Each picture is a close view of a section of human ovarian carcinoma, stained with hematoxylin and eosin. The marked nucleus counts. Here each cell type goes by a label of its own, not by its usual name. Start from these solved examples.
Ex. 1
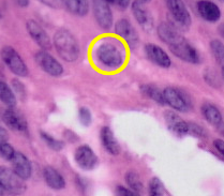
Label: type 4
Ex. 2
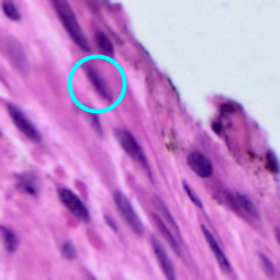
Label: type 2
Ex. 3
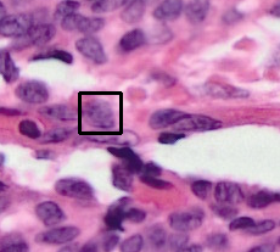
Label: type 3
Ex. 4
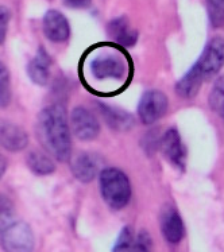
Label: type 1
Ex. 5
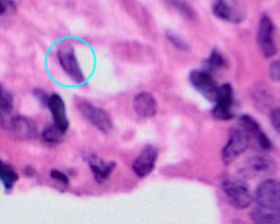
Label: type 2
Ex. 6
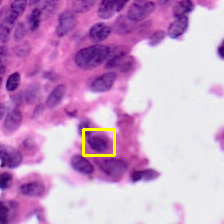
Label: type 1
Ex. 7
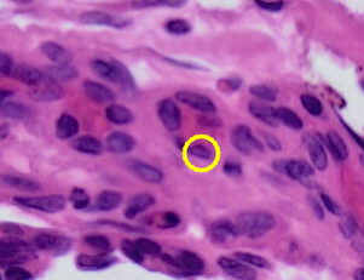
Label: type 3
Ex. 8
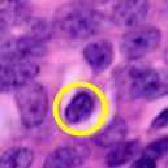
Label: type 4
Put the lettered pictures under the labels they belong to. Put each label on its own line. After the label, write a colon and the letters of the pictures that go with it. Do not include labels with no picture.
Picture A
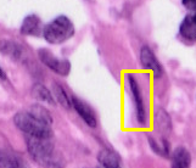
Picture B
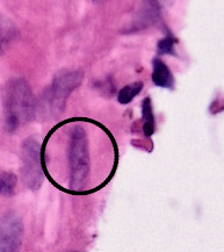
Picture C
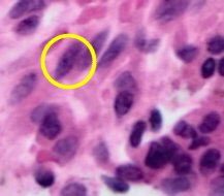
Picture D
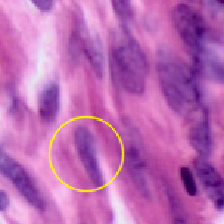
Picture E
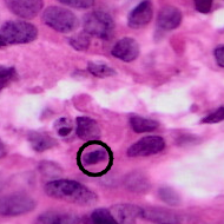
type 2: A, B, C, D
type 3: E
